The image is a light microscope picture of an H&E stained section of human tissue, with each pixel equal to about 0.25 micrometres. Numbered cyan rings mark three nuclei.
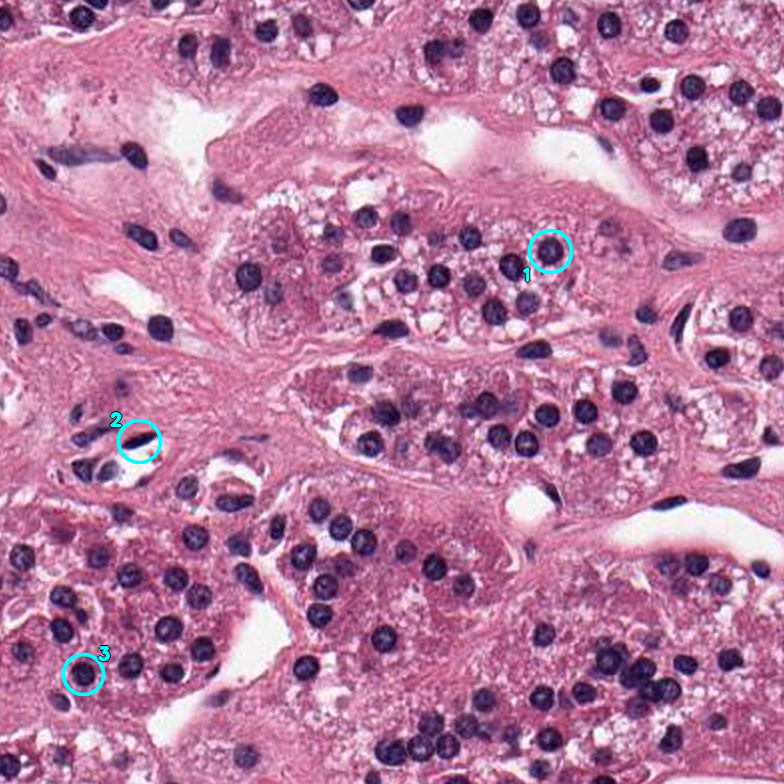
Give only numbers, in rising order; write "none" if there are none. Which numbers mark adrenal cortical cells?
1, 3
